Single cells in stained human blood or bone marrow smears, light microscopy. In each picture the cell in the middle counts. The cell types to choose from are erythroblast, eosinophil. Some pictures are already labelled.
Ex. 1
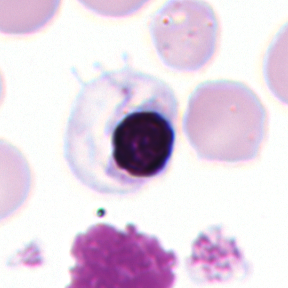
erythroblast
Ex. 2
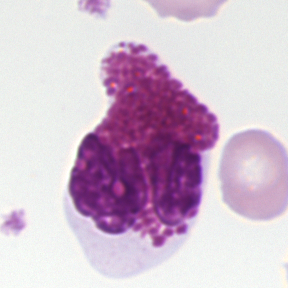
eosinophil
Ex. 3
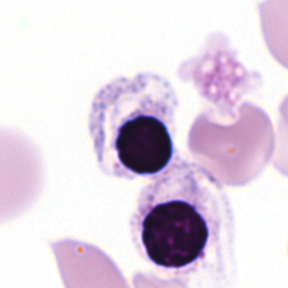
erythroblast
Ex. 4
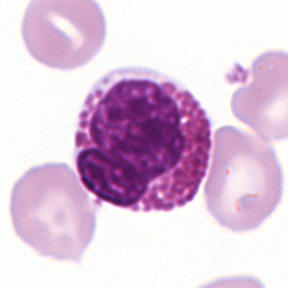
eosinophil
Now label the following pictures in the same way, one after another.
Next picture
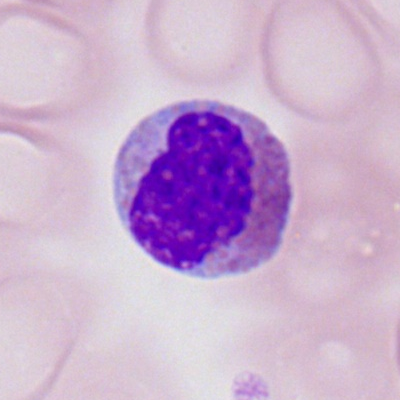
eosinophil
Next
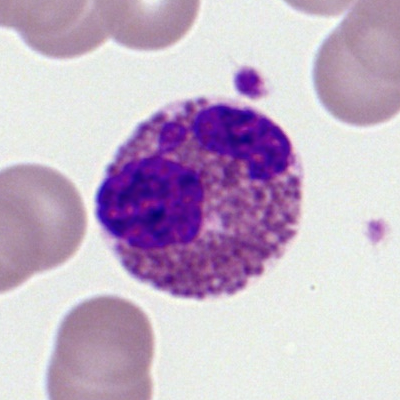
eosinophil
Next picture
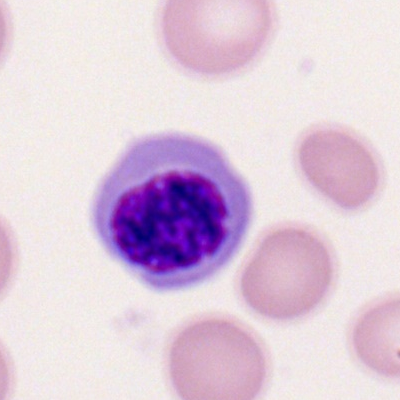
erythroblast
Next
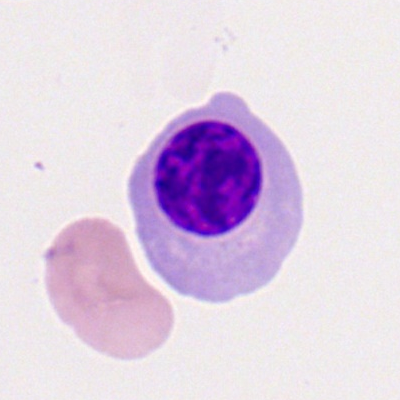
erythroblast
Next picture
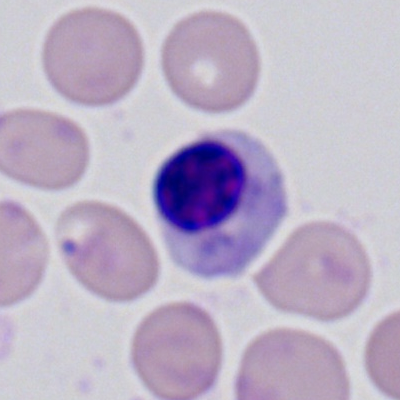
erythroblast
